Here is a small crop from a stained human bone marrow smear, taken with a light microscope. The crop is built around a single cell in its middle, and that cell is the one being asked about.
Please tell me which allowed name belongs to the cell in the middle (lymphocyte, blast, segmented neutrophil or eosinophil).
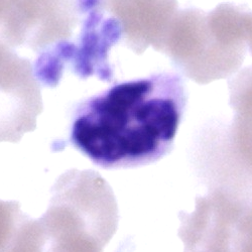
segmented neutrophil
